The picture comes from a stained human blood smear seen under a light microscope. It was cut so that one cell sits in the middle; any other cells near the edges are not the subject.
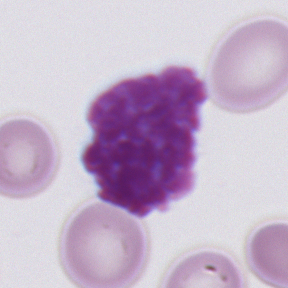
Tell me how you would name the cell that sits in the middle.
smudge cell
